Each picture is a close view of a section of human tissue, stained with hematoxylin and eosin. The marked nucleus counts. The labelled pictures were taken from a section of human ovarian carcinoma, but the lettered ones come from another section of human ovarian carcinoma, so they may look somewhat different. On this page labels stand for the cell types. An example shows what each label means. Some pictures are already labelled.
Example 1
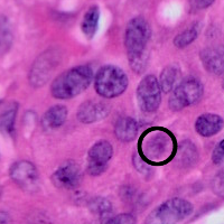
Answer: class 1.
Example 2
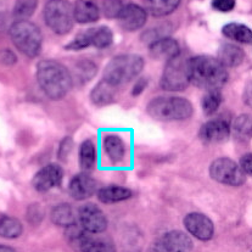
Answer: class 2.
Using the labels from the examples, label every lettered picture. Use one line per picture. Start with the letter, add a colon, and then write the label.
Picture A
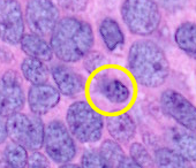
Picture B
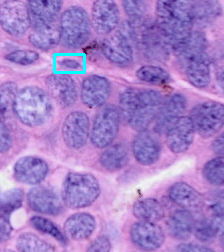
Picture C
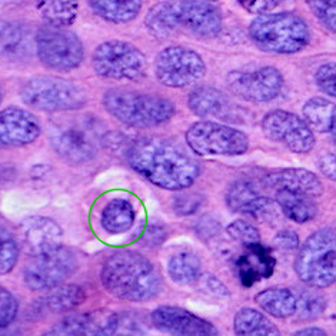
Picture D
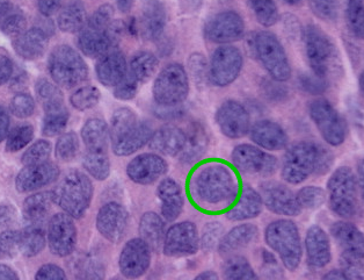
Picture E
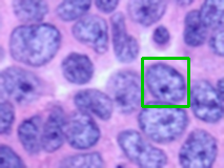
A: class 2.
B: class 2.
C: class 2.
D: class 1.
E: class 1.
